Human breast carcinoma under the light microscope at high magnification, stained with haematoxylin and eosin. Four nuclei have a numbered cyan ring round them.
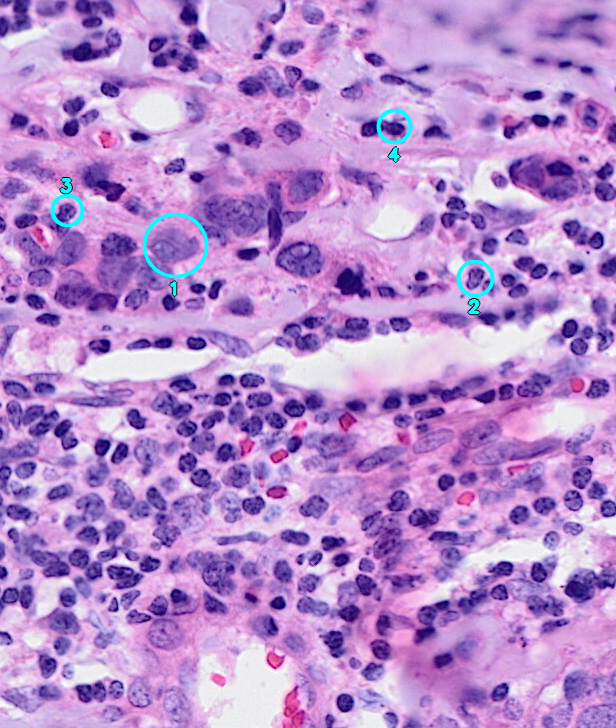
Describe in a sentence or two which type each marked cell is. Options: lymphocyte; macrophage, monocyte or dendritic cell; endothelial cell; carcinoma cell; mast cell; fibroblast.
Cell 1 is a carcinoma cell. Cells 2, 3 and 4 are lymphocytes.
